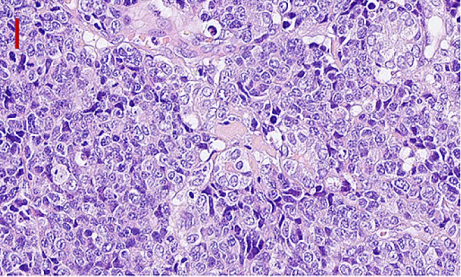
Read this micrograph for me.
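A solid high-grade tumor region is made of crowded sheets of large epithelial cells. Their nuclei are large, round to irregular and varied in size, many with visible nucleoli, and the cytoplasm is pink to purple. Here and there, rounded clusters of paler cells with clear spaces faintly recall the outline of glands within the solid sheet.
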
